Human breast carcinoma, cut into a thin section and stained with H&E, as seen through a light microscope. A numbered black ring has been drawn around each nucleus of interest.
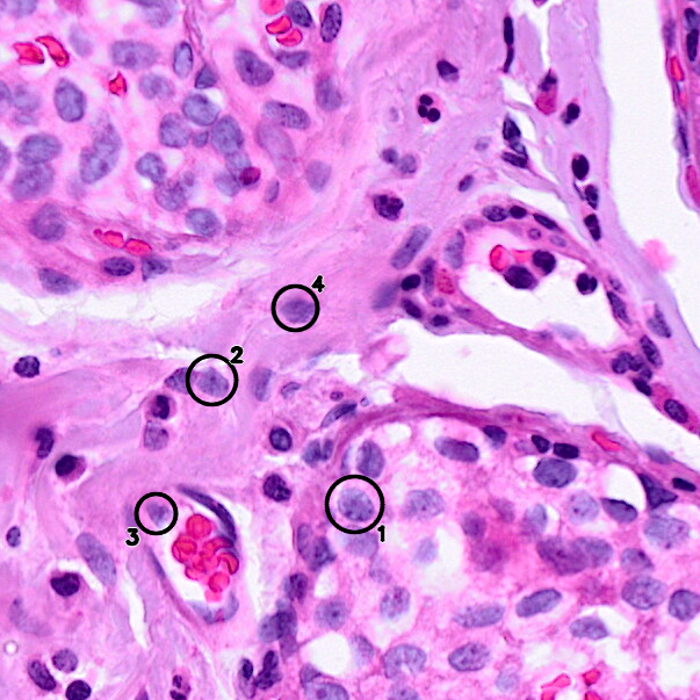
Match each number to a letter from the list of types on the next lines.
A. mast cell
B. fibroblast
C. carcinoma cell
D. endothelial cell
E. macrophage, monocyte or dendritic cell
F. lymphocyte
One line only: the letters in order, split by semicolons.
C; B; D; B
